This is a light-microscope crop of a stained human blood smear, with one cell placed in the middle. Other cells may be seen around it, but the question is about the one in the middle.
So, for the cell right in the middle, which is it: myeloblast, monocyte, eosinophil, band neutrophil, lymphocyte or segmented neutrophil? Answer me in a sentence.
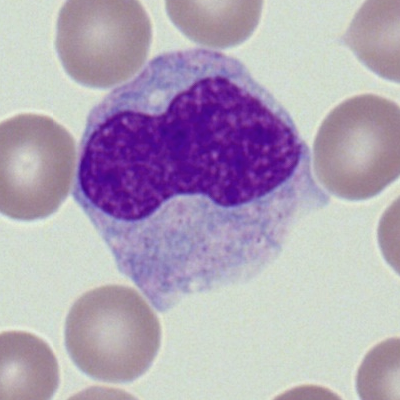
Classification of the middle cell gives a monocyte.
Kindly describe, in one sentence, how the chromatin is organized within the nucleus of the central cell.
The chromatin shows a fine pattern without coarse clumps.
